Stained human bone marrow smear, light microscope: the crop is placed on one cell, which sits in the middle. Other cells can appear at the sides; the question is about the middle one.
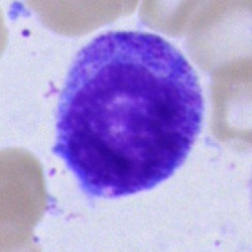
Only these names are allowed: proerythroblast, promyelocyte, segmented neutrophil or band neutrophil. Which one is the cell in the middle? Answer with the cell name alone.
promyelocyte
